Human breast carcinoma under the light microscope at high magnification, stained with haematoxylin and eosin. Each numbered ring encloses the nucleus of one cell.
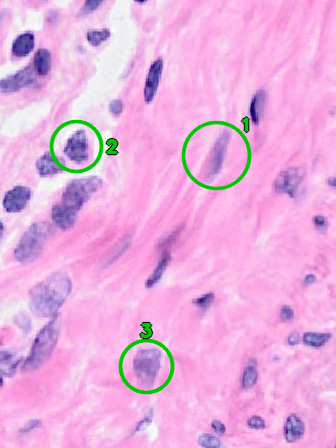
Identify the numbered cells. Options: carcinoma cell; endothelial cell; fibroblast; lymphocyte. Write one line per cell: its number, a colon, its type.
1: fibroblast
2: lymphocyte
3: fibroblast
